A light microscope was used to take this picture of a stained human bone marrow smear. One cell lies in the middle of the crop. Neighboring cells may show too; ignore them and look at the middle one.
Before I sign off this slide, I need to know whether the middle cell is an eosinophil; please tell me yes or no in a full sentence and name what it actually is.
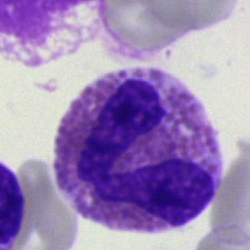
Yes, shown in the middle of the crop is an eosinophil.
